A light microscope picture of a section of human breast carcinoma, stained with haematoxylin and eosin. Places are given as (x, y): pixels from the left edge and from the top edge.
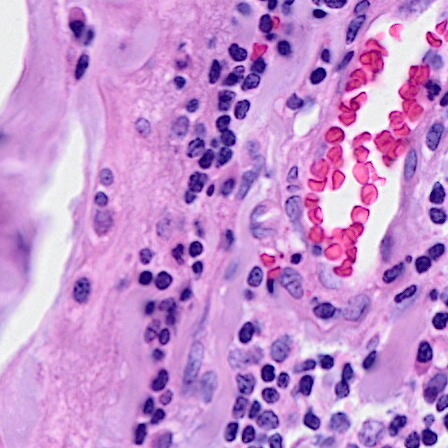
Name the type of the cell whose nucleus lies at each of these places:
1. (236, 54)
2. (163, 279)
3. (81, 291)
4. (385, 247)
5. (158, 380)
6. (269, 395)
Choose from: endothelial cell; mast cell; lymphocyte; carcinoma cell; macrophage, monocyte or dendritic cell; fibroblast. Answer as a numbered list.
1. lymphocyte
2. lymphocyte
3. mast cell
4. endothelial cell
5. lymphocyte
6. lymphocyte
